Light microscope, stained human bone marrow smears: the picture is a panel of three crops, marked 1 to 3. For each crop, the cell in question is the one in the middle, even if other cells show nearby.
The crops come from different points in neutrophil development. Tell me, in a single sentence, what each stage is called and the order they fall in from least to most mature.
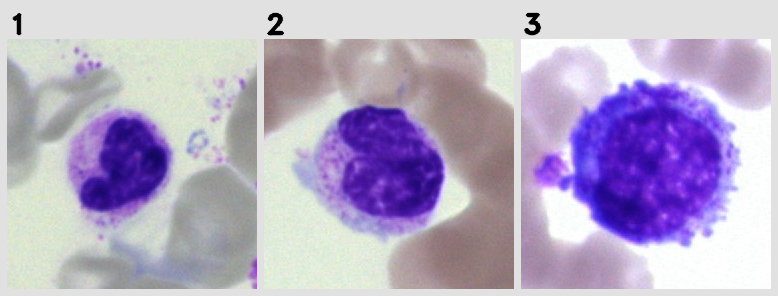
Ranked by maturation stage, earliest first, the crops read crop 3 (a promyelocyte), crop 2 (a band neutrophil) and crop 1 (a segmented neutrophil).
